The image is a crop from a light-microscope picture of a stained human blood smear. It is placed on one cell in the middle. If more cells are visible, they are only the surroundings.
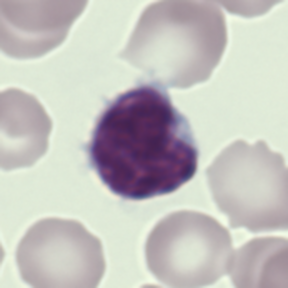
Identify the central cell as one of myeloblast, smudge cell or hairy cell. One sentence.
The middle of this crop is occupied by a hairy cell.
